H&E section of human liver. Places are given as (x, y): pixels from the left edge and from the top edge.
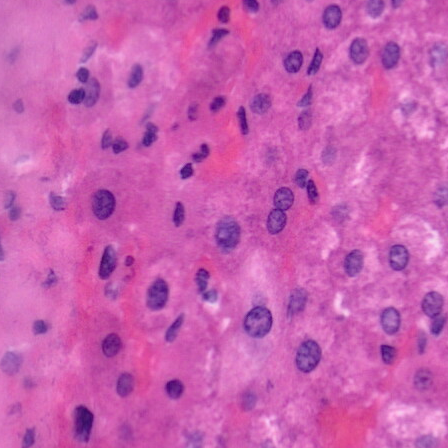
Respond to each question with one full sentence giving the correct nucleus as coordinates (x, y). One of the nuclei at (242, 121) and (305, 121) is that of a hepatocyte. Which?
It is the nucleus at (305, 121) that forms part of a hepatocyte.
